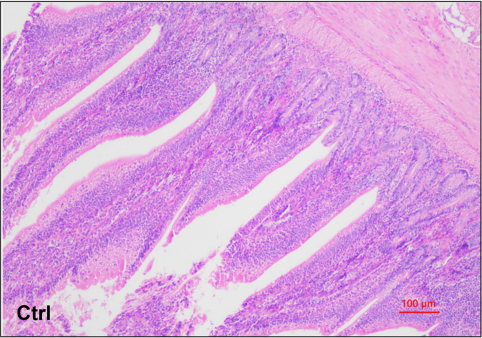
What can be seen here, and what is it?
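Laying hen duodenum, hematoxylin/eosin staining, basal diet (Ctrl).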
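This is a section of intestinal wall showing long villi of the mucosa beside a band of smooth muscle. The villi run diagonally from the lower left toward the upper right, separated by white lumen spaces. Each villus has a core of densely packed cells with purple nuclei, covered by a lining of epithelial cells along its surface. At the upper right the mucosa meets a broad, pale pink, fibrous-looking layer of smooth muscle, beyond which loose connective tissue appears at the edge.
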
